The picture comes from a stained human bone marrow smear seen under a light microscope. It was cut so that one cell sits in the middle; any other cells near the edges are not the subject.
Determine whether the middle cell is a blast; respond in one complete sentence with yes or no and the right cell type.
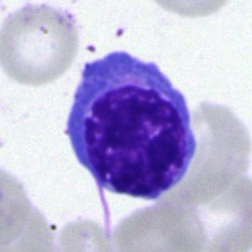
No, it is not a blast that lies in the middle but an erythroblast.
